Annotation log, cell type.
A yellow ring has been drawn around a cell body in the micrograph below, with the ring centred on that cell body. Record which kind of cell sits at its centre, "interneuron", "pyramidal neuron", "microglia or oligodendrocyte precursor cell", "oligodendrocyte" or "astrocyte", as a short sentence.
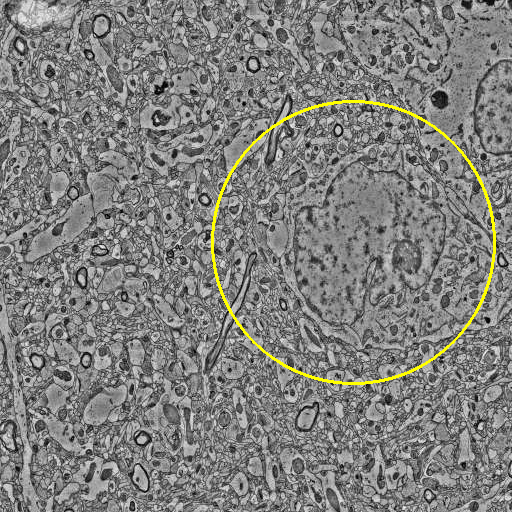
The cell at the centre of this ring is an interneuron.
